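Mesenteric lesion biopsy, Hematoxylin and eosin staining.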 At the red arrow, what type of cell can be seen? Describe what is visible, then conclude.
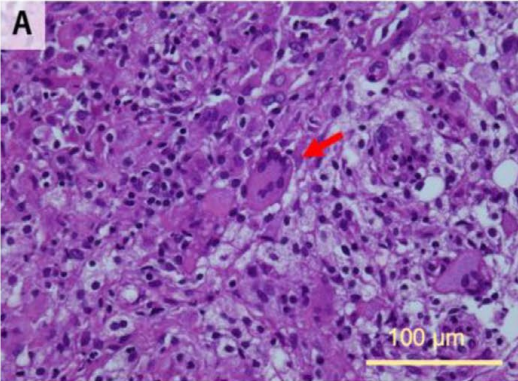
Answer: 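The arrow points to a large cell with abundant pink cytoplasm. Several nuclei are clustered within that single cell.
Answer: multinucleated giant cells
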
